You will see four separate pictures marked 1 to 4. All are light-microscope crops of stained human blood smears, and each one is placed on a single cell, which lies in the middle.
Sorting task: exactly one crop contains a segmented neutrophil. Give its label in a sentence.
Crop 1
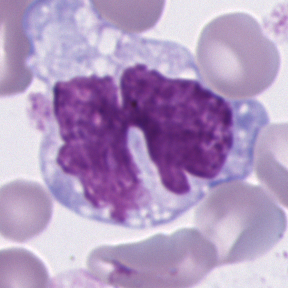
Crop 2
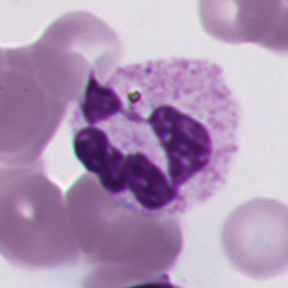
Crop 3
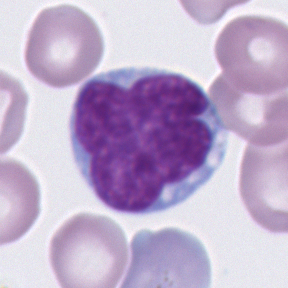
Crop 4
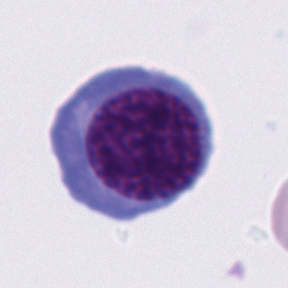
Only in crop 2 is a segmented neutrophil shown.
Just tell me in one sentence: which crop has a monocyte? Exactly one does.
The cell identified as a monocyte is the one in crop 1.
